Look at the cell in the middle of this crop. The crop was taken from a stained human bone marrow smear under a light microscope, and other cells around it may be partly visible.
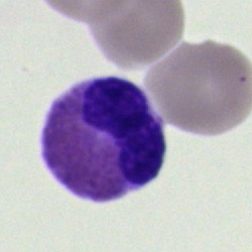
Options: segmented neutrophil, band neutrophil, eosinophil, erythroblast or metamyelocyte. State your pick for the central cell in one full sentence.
Where the crop is centred, there is an eosinophil.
